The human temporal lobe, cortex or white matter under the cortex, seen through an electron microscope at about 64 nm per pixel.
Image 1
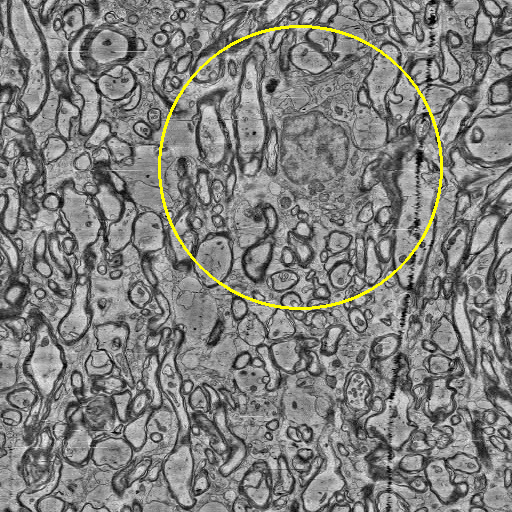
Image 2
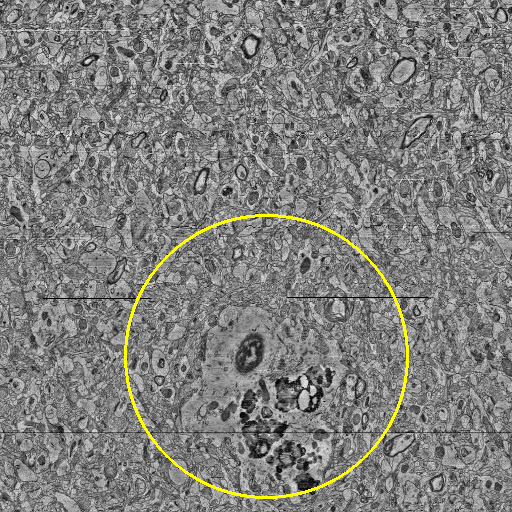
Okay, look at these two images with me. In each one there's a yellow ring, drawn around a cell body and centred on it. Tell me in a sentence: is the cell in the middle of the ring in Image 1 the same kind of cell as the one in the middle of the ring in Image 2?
No, they're two kinds of cell.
